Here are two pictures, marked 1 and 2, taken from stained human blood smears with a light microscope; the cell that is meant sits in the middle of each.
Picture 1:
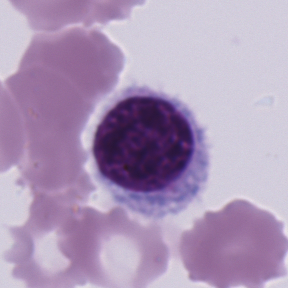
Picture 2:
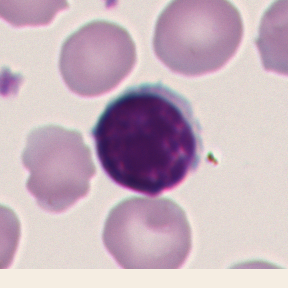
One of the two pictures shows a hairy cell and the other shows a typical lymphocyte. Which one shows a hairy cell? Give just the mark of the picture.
1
